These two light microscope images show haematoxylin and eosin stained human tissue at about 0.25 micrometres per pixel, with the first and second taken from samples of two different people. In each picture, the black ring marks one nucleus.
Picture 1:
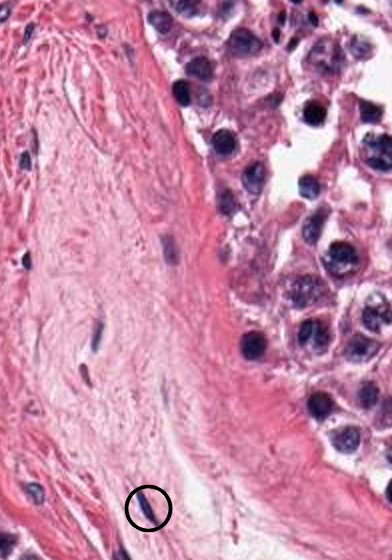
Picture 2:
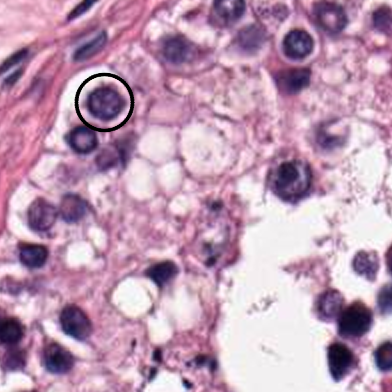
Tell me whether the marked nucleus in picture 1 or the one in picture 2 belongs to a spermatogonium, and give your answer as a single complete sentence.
Picture 2, not the other picture, contains a marked nucleus belonging to a spermatogonium.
